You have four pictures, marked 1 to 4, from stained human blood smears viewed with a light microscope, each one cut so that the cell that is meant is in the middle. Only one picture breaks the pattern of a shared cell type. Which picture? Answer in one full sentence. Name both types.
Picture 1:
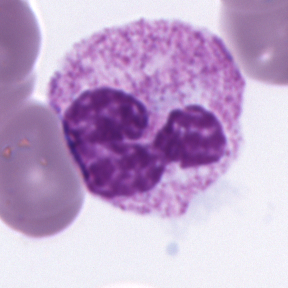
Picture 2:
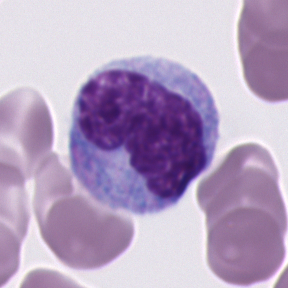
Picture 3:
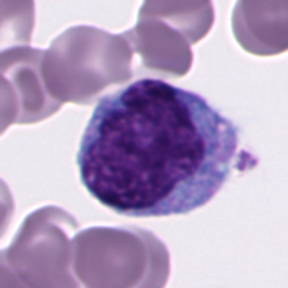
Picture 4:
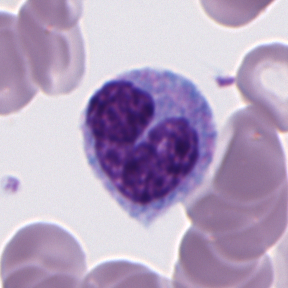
The different one is picture 1; it shows a segmented neutrophil, whereas all the others show monocytes.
